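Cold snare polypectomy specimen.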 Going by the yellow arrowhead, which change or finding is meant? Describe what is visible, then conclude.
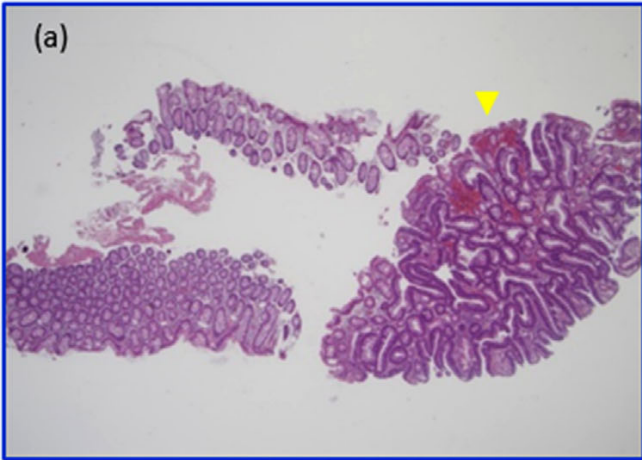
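Below the arrowhead lies a small patch of bright red material among the glands.
Hence: focal microbleeding.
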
